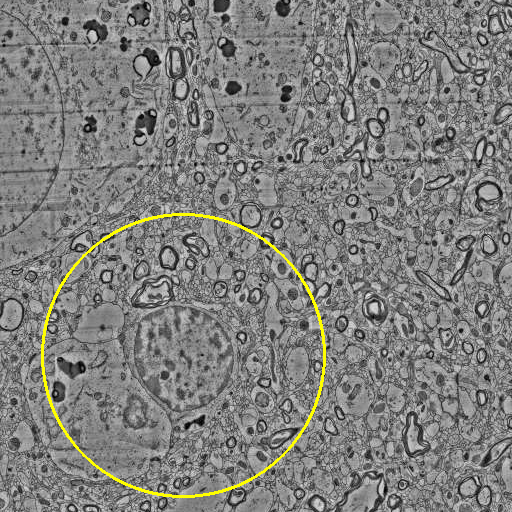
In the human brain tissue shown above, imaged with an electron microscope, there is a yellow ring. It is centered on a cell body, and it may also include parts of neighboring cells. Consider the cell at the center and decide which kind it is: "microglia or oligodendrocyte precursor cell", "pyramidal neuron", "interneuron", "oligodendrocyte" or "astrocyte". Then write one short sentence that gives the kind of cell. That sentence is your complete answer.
This centered cell body is that of an oligodendrocyte.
